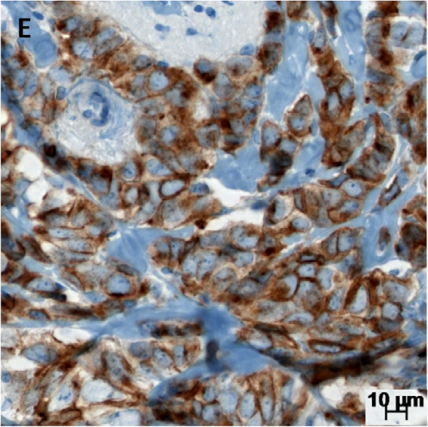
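Tumor cells of an invasive carcinoma lie in small groups and cords separated by pale blue fibrous stroma. The tumor cells show brown staining in their cytoplasm and along their cell borders. Their nuclei are round to oval, blue and unstained. The stroma between the groups of tumor cells is free of brown stain. A rounded pale structure is seen near the upper left.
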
